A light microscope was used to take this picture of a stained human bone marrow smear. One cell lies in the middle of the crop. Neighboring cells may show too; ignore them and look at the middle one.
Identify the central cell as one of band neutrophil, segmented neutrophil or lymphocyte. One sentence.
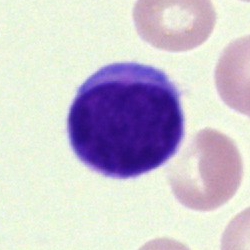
In this crop, the cell at the very middle is a lymphocyte.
